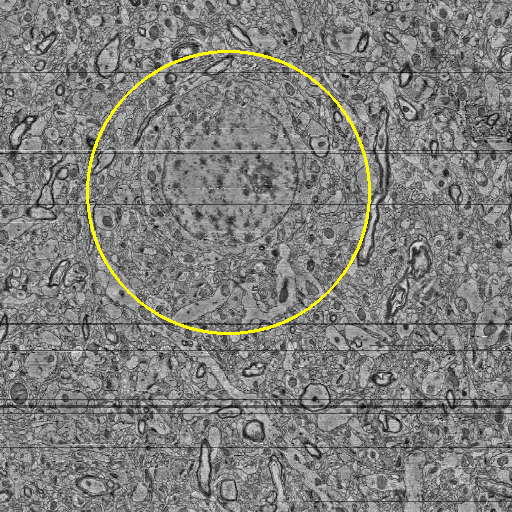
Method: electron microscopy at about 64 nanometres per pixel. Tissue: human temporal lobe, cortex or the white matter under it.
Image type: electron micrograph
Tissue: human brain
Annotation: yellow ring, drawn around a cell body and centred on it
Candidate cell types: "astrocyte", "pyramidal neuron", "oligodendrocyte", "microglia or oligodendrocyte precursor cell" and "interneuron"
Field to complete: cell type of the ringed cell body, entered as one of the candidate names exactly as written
interneuron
